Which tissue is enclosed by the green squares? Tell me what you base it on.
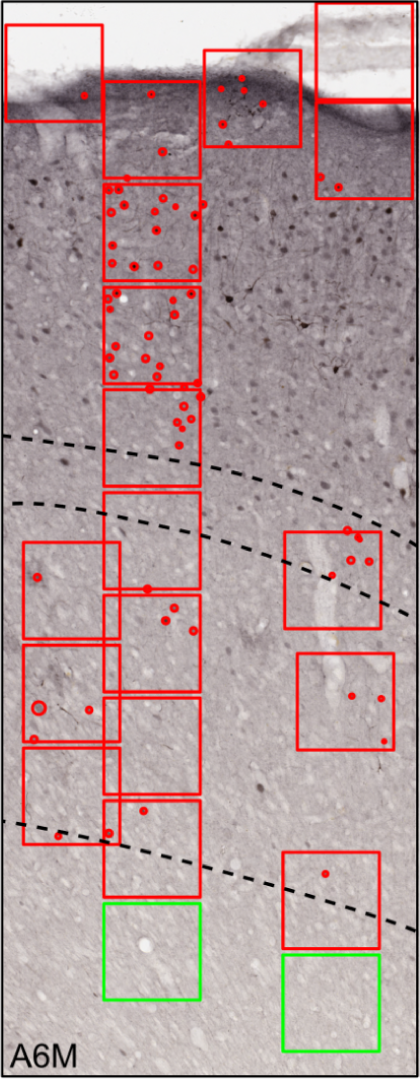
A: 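The green squares lie at the bottom of the strip in pale tissue. No dark stained cell bodies lie in the green squares.
Conclusion: white matter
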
